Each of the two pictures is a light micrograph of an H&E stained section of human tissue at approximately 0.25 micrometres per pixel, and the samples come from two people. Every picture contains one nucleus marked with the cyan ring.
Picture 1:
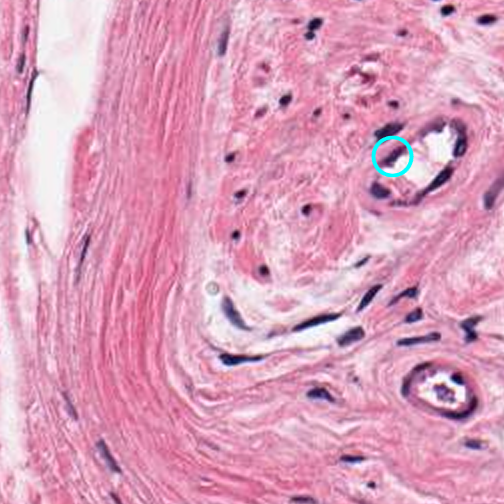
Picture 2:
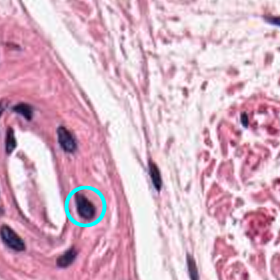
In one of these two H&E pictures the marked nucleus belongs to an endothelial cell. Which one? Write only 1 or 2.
1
